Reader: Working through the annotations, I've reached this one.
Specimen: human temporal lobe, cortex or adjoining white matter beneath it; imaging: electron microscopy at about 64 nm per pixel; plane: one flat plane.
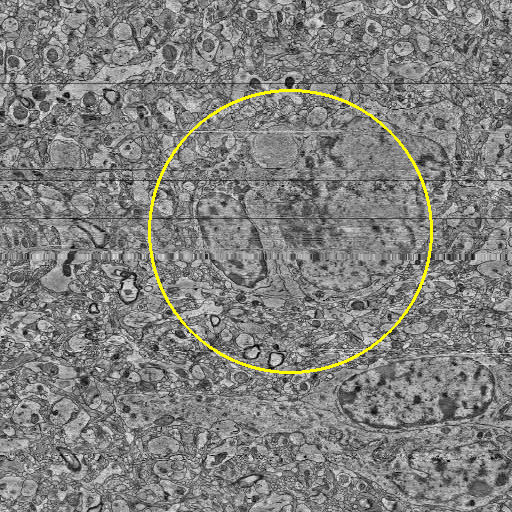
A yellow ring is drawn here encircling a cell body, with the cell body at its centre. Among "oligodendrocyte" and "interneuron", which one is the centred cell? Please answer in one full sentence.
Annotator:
The cell body at the centre of the yellow ring in this image belongs to an oligodendrocyte.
